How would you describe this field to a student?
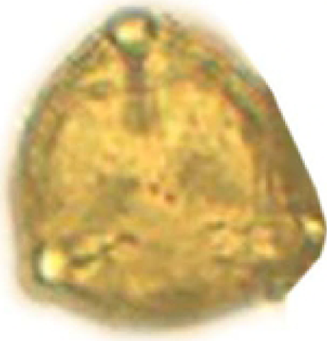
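A single pollen grain seen in polar view, triangular in outline with slightly convex sides. Three small rounded pores protrude at the corners of the triangle.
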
